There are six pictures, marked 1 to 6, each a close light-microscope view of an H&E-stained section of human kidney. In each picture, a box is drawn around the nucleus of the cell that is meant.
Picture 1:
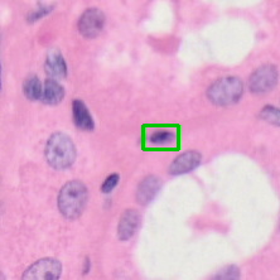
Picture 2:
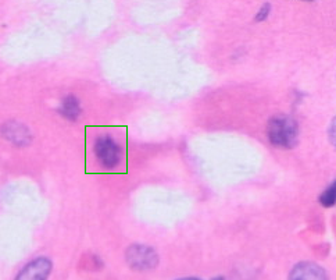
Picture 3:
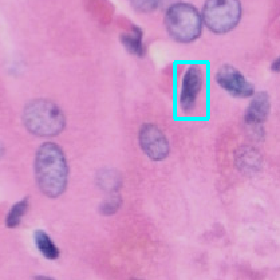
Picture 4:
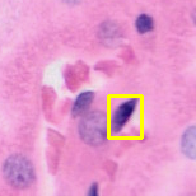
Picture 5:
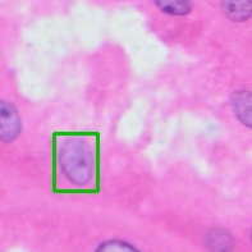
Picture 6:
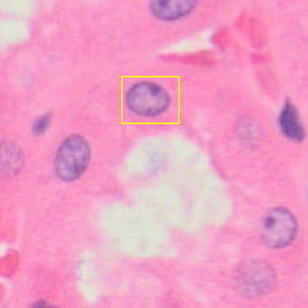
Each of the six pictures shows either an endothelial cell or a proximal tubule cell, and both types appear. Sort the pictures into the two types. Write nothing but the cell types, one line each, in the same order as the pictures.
endothelial cell
proximal tubule cell
endothelial cell
endothelial cell
proximal tubule cell
proximal tubule cell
